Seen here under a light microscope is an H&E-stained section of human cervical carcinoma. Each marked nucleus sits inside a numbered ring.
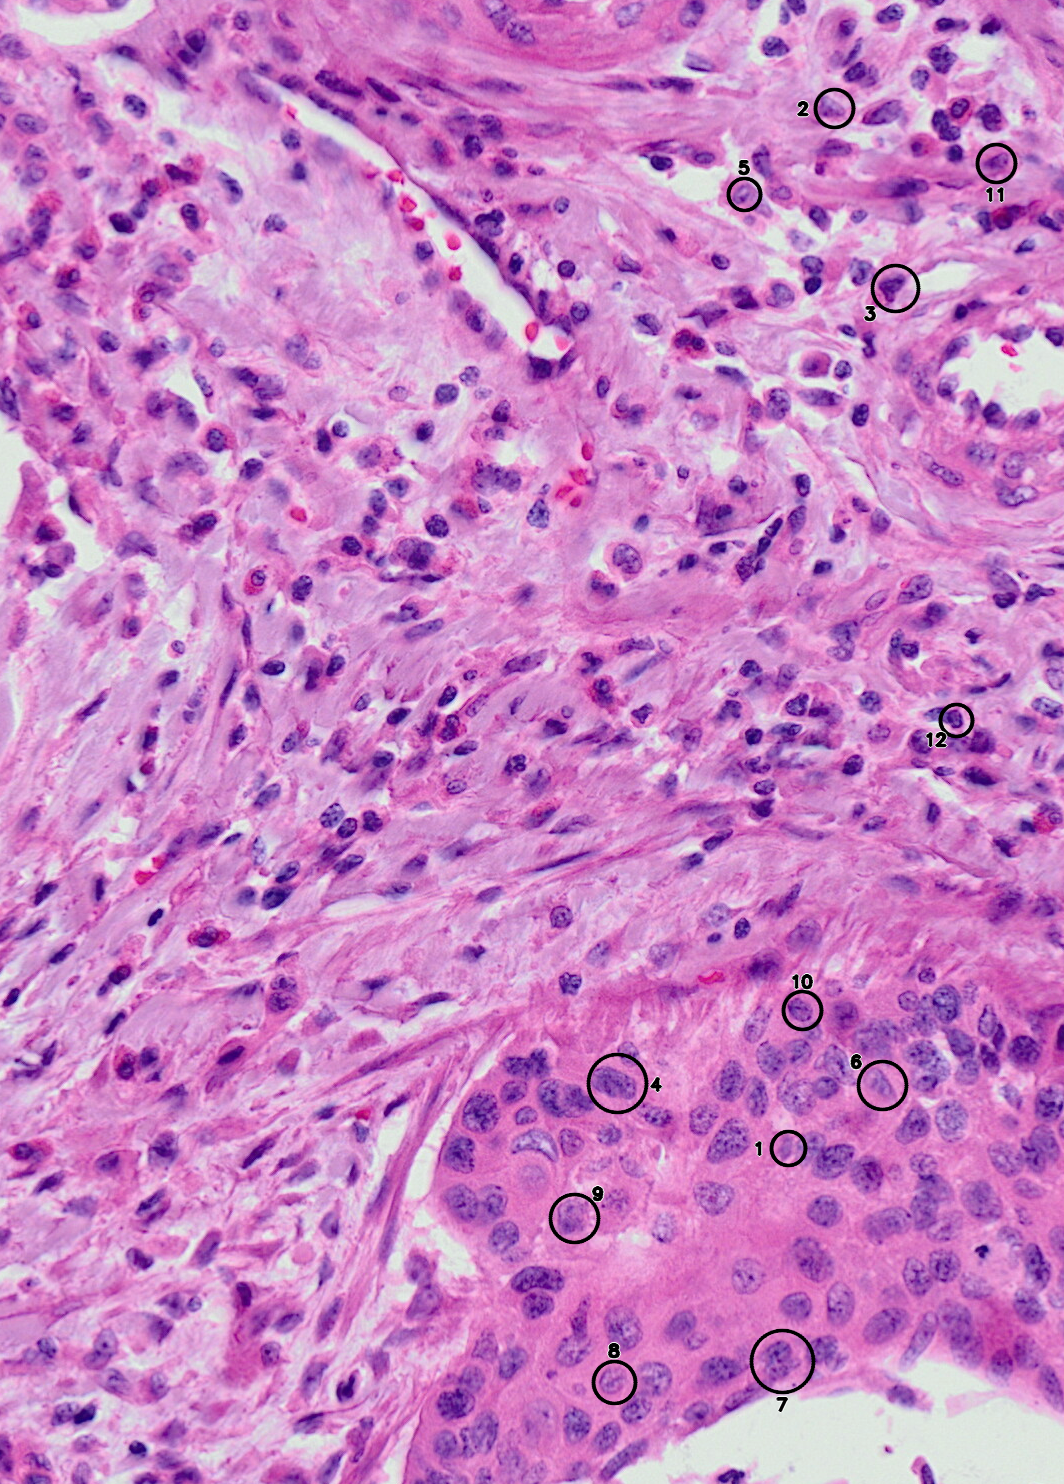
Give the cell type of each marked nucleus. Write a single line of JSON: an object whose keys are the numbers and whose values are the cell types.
{"1": "squamous carcinoma cell", "2": "macrophage or monocyte", "3": "macrophage or monocyte", "4": "squamous carcinoma cell", "5": "macrophage or monocyte", "6": "squamous carcinoma cell", "7": "squamous carcinoma cell", "8": "squamous carcinoma cell", "9": "squamous carcinoma cell", "10": "squamous carcinoma cell", "11": "macrophage or monocyte", "12": "lymphocyte"}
